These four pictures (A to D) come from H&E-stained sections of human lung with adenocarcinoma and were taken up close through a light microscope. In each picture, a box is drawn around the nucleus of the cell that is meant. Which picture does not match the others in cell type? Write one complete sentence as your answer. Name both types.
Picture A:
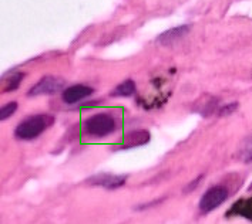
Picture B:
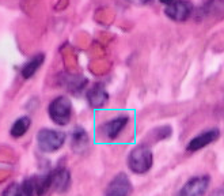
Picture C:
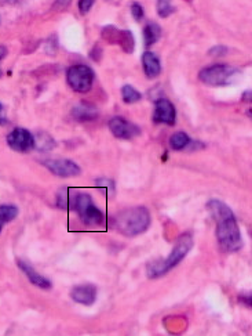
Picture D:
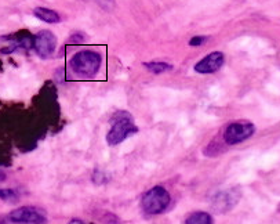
Picture B is the odd one out: it shows a lymphocyte, while the others show plasma cells.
